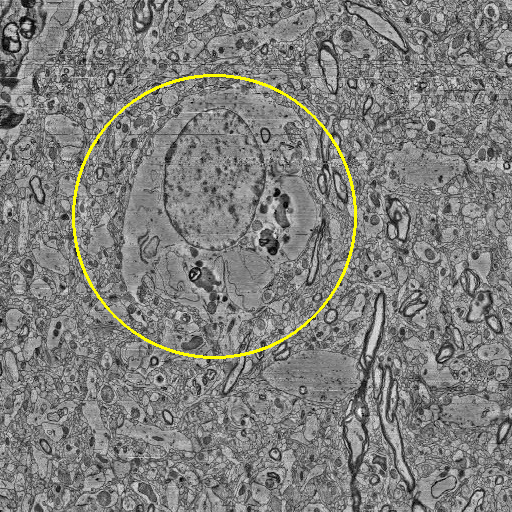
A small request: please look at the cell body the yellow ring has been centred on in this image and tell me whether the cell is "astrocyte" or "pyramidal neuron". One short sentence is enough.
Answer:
The cell marked by the ring is an astrocyte.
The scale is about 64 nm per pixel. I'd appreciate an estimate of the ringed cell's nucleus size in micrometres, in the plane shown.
The nucleus appears roughly 9 by 6 micrometres in this plane.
